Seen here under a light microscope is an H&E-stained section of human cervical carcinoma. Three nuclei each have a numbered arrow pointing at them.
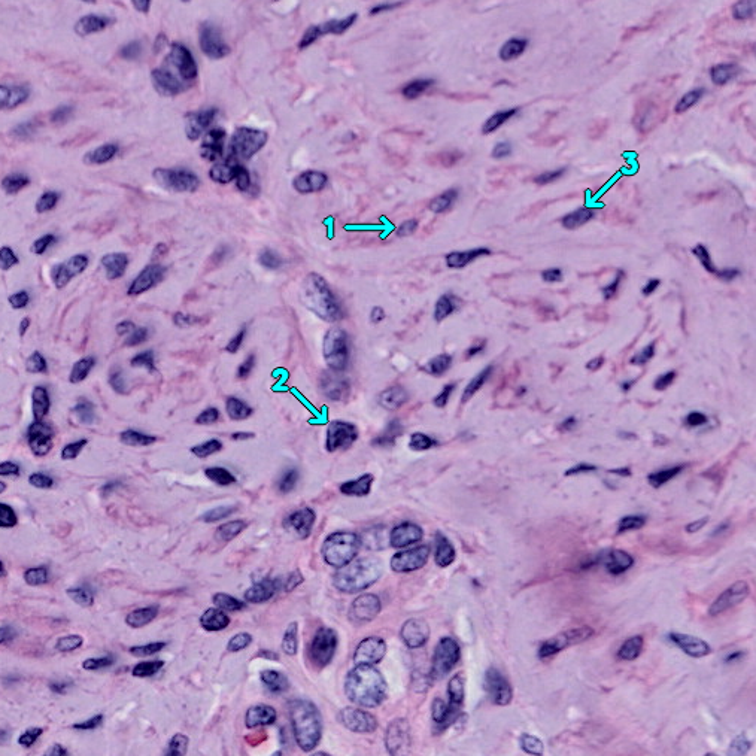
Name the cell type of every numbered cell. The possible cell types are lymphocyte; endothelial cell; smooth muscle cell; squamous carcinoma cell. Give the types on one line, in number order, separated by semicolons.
smooth muscle cell; lymphocyte; smooth muscle cell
